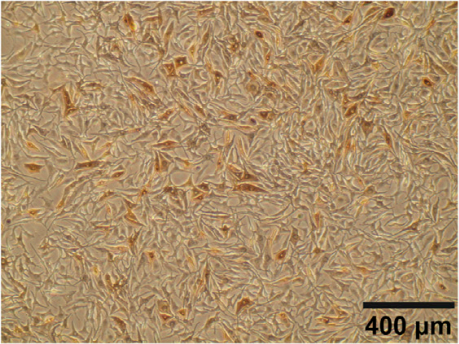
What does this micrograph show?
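A dense culture of melanocytes, mostly spindle-shaped or triangular cells with tapering processes, covering nearly the whole field. Many cells hold brown pigment in their cytoplasm, scattered among paler unpigmented cells.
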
